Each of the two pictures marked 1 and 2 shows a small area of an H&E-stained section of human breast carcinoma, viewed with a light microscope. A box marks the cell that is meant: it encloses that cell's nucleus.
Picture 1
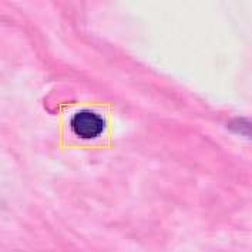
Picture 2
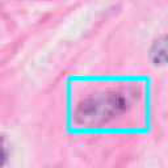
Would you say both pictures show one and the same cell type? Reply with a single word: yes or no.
no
